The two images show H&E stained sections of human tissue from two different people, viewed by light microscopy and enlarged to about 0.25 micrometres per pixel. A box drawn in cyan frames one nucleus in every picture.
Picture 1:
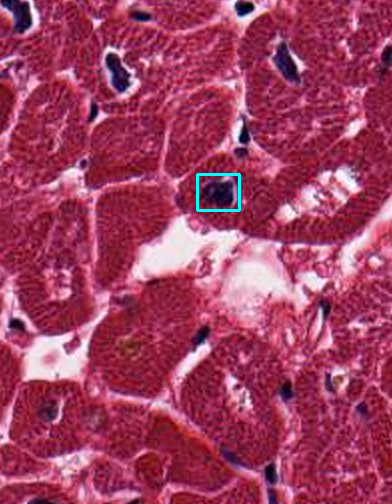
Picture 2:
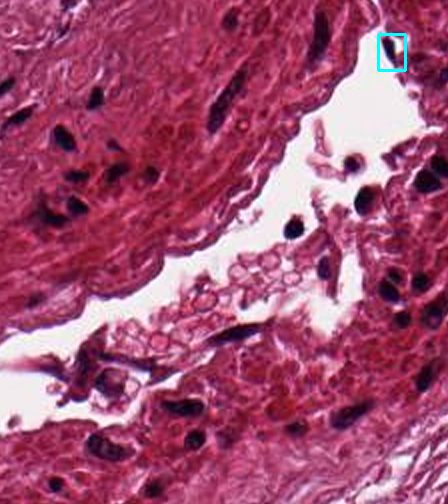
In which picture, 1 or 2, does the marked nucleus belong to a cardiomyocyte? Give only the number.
1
